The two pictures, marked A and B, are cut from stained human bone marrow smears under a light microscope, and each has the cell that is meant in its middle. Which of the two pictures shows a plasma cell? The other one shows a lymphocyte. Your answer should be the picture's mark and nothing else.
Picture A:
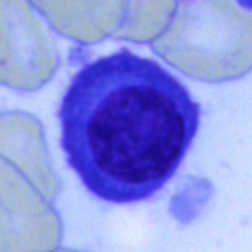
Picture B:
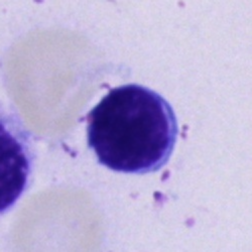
A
